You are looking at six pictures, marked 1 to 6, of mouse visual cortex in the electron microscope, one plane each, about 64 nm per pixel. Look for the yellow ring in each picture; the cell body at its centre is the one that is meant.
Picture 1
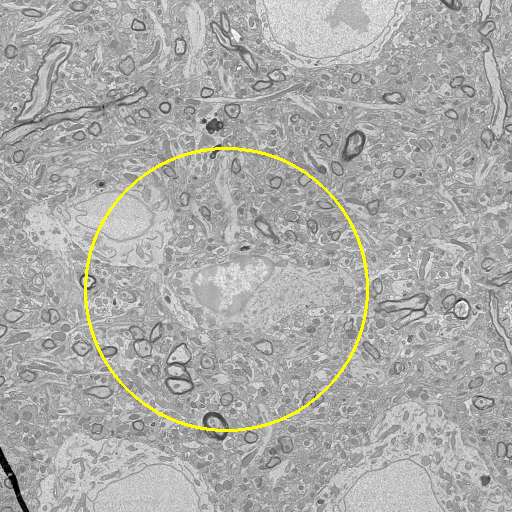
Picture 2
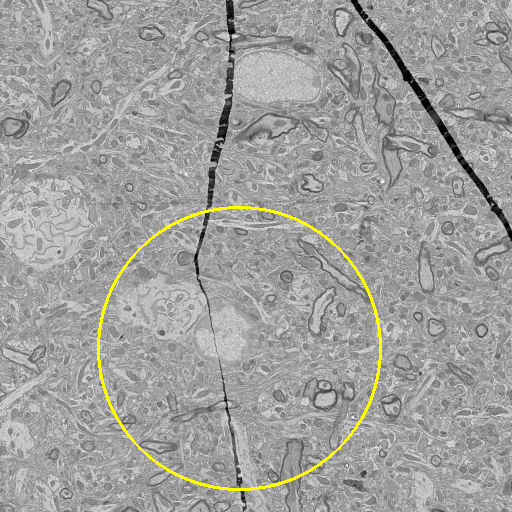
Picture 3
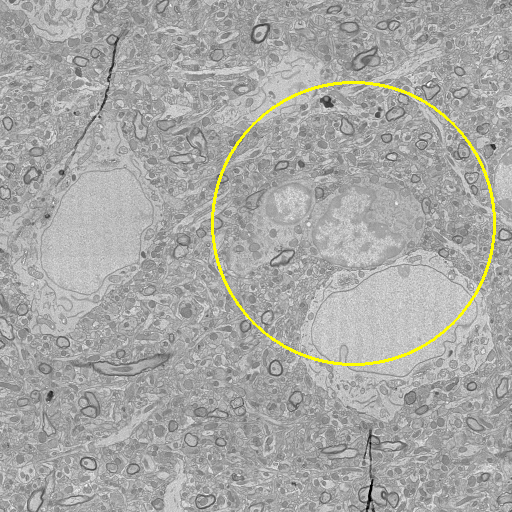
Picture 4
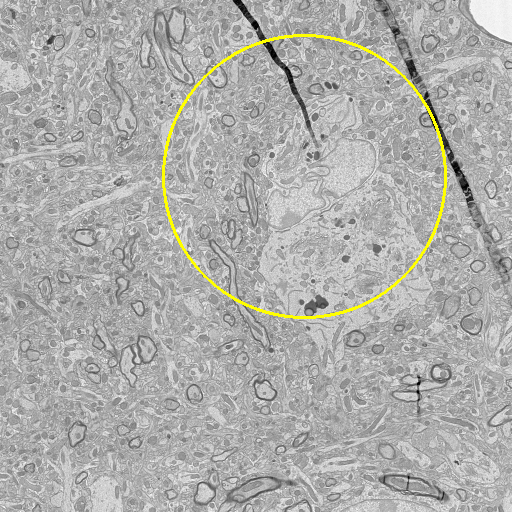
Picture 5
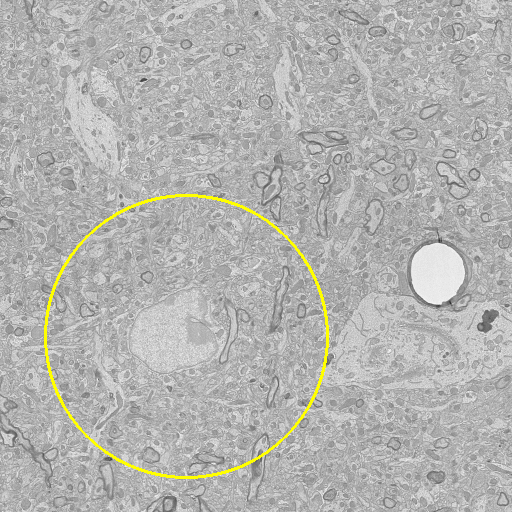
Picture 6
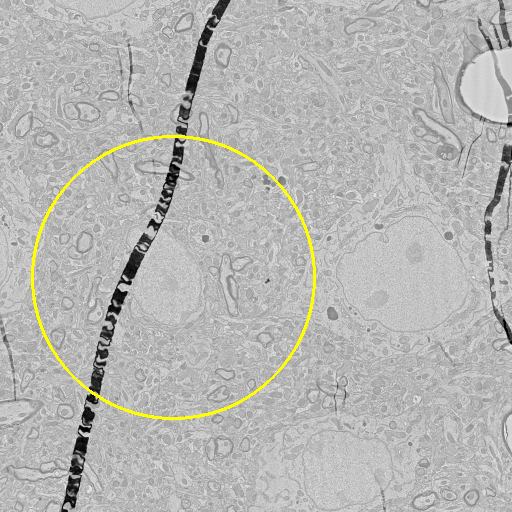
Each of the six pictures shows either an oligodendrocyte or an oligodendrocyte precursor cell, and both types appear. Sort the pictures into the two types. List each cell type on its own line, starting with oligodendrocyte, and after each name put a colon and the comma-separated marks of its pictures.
oligodendrocyte: 1, 2, 3
oligodendrocyte precursor cell: 4, 5, 6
